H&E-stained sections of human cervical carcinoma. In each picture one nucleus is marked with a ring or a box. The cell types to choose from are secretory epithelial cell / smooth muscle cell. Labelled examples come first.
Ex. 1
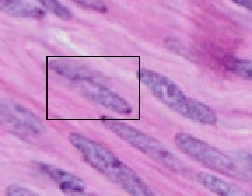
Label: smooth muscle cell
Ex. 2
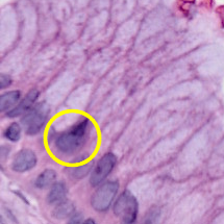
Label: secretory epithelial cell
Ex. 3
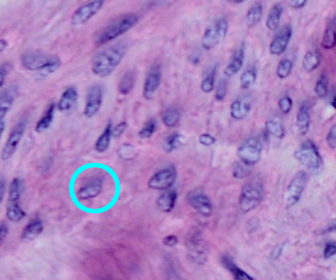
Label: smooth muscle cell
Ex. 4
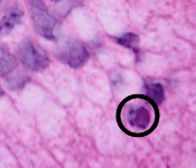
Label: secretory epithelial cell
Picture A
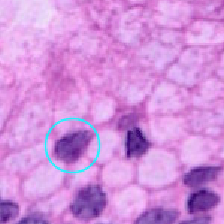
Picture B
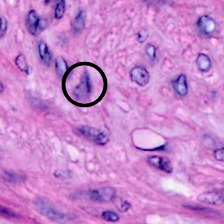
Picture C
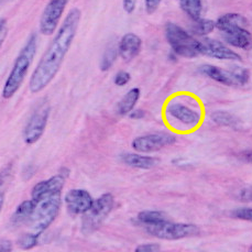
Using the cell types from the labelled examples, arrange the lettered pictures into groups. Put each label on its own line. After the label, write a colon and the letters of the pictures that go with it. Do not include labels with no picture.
secretory epithelial cell: A
smooth muscle cell: B, C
